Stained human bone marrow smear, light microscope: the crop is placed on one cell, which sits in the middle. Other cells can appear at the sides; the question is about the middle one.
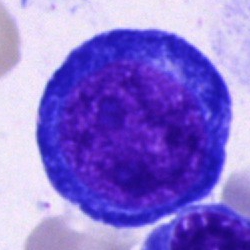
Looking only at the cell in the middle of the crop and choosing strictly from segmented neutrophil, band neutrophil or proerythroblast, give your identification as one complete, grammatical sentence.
Here the cell in the middle is a proerythroblast.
